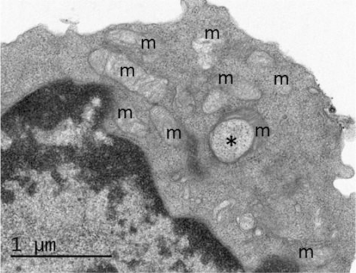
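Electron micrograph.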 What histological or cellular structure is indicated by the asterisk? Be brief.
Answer: Mitochondrial spheroid.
